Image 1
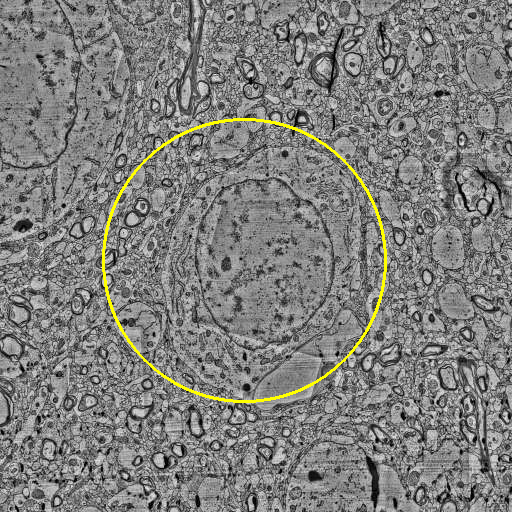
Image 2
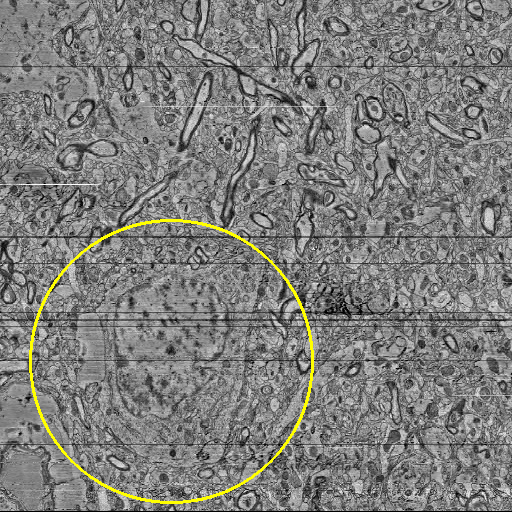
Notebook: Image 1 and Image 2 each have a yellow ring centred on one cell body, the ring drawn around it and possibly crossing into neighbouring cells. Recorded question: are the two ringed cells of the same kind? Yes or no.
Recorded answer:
yes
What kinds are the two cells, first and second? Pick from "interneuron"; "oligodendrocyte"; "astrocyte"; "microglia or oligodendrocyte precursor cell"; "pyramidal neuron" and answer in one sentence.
Each of the ringed cells, first and second, is an interneuron.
